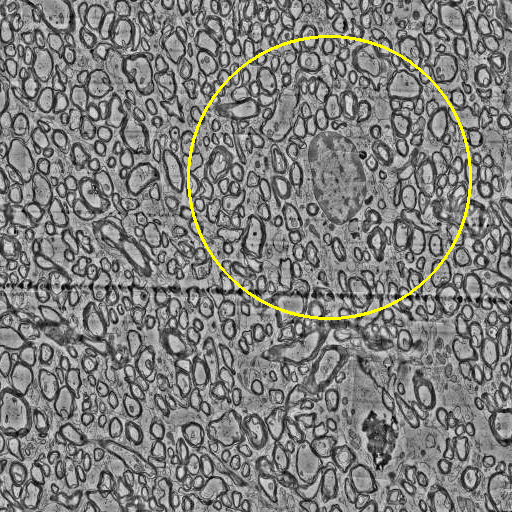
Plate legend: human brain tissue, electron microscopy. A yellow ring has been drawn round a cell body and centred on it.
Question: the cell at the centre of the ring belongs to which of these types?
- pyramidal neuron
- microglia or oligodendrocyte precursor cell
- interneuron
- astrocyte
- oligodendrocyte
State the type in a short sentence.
The cell in the middle of the ring is a microglial cell or oligodendrocyte precursor cell.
